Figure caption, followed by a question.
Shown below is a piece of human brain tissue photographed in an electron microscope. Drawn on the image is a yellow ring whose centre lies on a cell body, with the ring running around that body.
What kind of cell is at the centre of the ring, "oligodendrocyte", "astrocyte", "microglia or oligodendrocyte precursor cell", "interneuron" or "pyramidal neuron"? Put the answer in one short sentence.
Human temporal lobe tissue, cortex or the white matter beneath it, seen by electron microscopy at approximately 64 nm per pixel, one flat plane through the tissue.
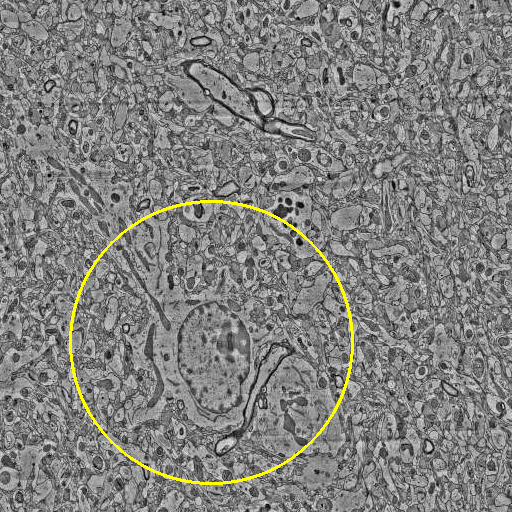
The ring marks the cell body of an astrocyte.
